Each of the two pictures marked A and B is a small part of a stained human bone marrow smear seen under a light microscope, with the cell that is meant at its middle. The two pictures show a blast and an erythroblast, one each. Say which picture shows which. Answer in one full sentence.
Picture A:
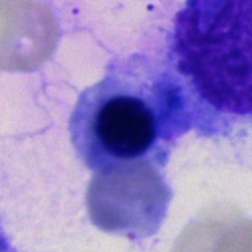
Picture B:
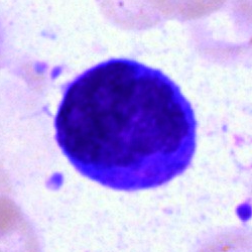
In picture A the cell is an erythroblast; in picture B, a blast.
